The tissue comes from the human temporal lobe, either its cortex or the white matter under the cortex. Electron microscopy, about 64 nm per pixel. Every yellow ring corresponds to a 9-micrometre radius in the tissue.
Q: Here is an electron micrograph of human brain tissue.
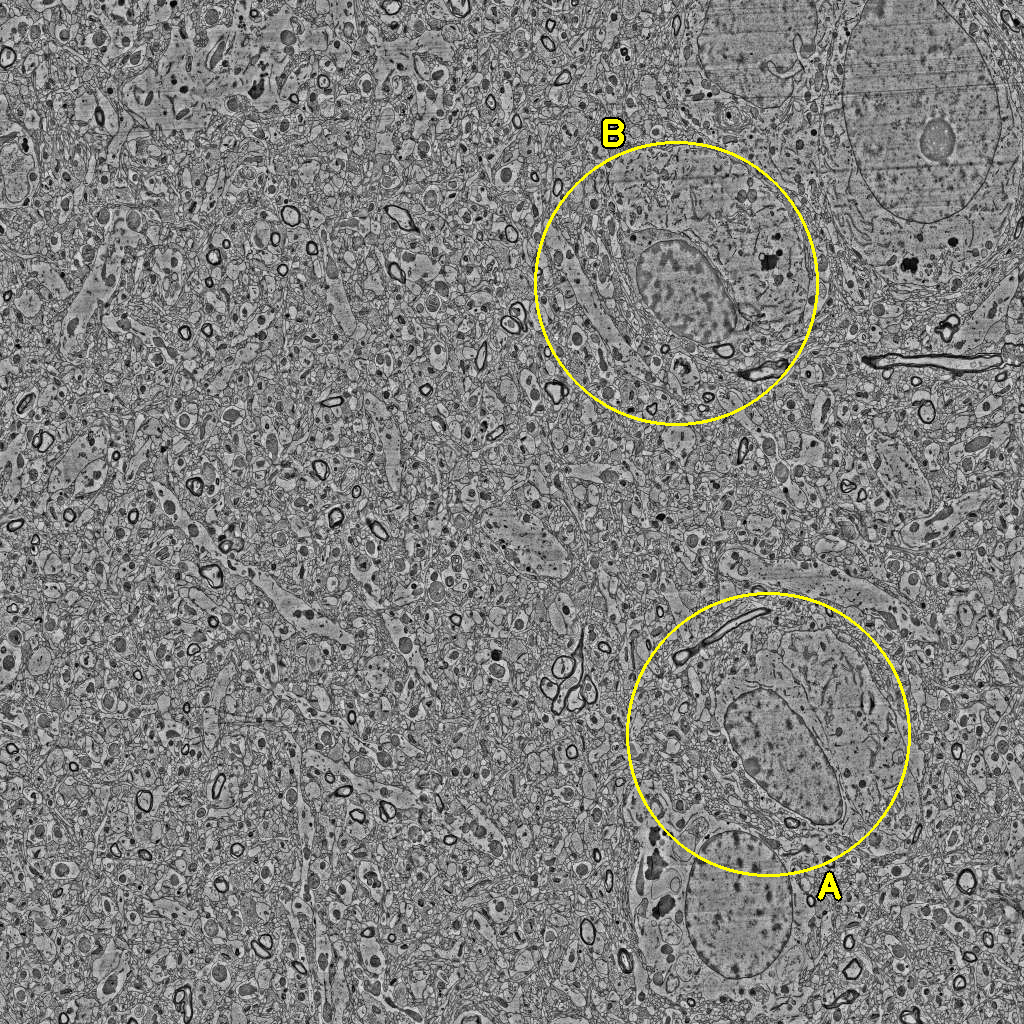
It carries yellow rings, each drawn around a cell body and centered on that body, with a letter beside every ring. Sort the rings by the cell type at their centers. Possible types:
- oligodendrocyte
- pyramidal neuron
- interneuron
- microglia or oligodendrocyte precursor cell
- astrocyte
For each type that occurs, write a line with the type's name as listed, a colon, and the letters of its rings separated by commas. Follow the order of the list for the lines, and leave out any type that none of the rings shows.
oligodendrocyte: B
microglia or oligodendrocyte precursor cell: A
